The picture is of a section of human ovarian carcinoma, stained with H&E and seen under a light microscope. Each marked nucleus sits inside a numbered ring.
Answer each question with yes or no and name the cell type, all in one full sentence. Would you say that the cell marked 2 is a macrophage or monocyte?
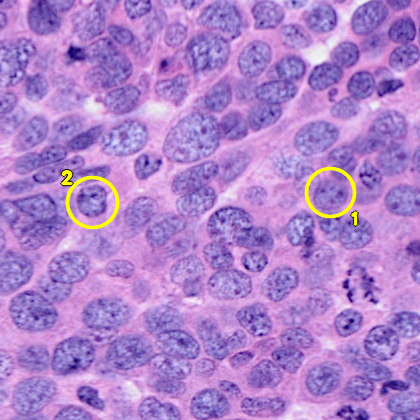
Yes, within this section, cell number 2 is a macrophage or monocyte.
